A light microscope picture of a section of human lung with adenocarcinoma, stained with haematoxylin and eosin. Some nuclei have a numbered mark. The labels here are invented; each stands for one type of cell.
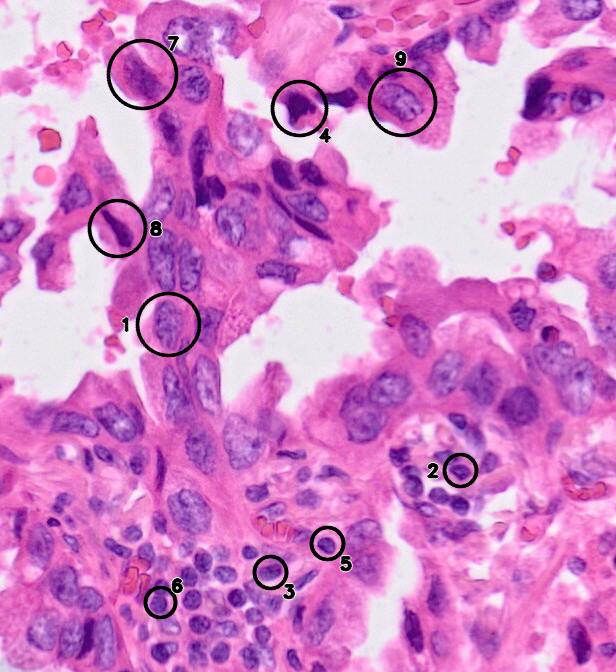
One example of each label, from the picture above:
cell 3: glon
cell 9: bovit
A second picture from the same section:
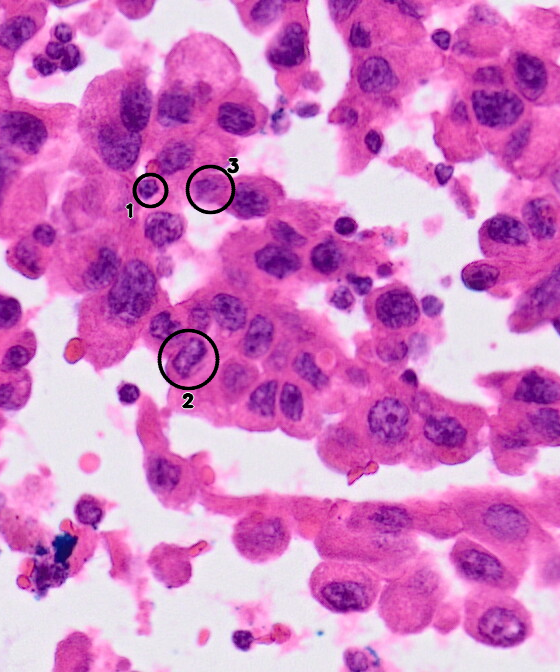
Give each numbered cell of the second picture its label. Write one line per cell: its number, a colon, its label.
1: glon
2: bovit
3: bovit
